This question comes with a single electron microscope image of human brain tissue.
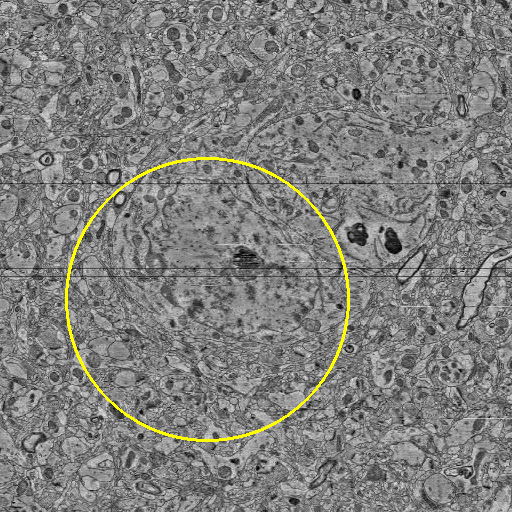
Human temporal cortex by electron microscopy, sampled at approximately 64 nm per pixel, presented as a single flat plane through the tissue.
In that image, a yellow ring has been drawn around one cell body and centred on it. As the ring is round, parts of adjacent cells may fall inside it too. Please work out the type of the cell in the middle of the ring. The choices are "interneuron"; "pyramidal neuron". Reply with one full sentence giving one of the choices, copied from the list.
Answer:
Of the choices, an interneuron is the cell sitting in the middle of the ring.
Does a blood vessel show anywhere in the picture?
No, none appears.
